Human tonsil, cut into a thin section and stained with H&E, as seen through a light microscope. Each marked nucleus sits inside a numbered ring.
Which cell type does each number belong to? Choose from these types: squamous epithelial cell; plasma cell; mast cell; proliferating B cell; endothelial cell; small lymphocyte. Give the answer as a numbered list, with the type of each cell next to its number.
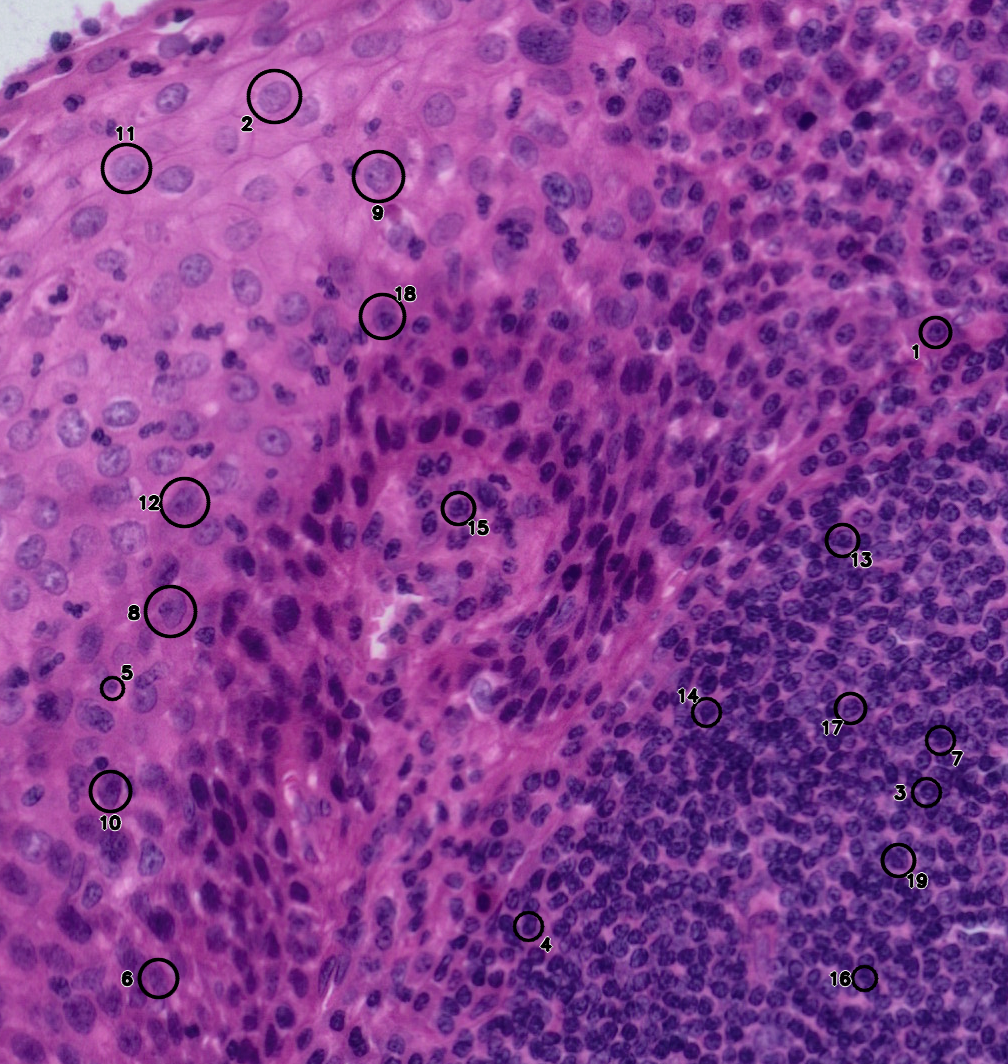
1. plasma cell
2. squamous epithelial cell
3. small lymphocyte
4. plasma cell
5. squamous epithelial cell
6. squamous epithelial cell
7. small lymphocyte
8. squamous epithelial cell
9. squamous epithelial cell
10. squamous epithelial cell
11. squamous epithelial cell
12. squamous epithelial cell
13. small lymphocyte
14. small lymphocyte
15. plasma cell
16. small lymphocyte
17. small lymphocyte
18. squamous epithelial cell
19. small lymphocyte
